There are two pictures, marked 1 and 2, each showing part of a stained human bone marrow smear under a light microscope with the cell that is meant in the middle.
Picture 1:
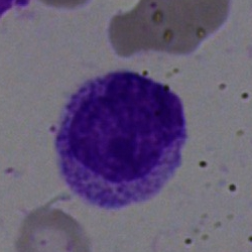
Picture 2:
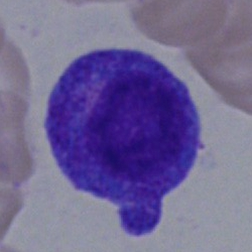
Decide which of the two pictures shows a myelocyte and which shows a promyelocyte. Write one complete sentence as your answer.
Picture 2 shows a promyelocyte, while picture 1 shows a myelocyte.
